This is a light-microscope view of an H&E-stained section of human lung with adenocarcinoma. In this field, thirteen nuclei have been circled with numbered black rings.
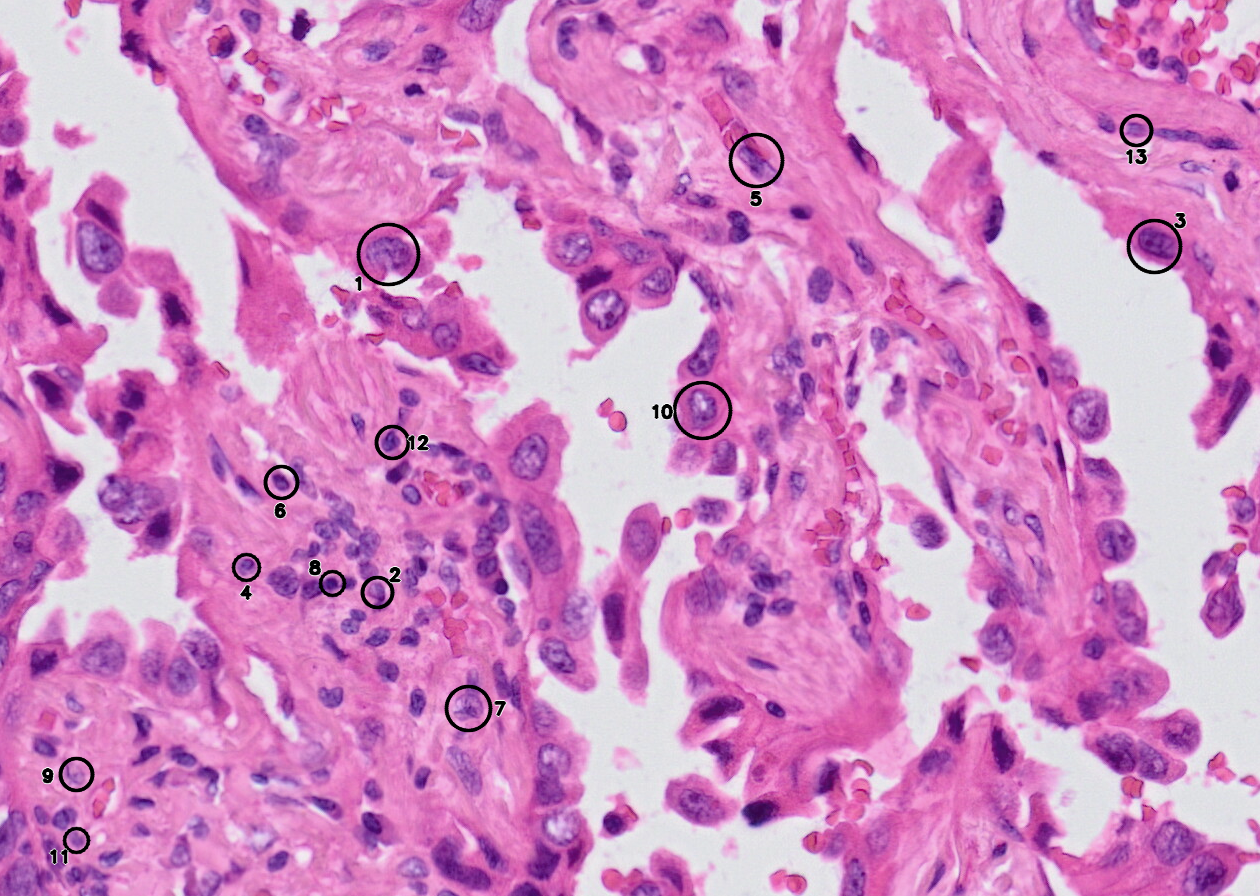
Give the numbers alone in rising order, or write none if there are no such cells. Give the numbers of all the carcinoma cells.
1, 3, 10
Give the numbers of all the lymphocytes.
2, 4, 6, 8, 11, 12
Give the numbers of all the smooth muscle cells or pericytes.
13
